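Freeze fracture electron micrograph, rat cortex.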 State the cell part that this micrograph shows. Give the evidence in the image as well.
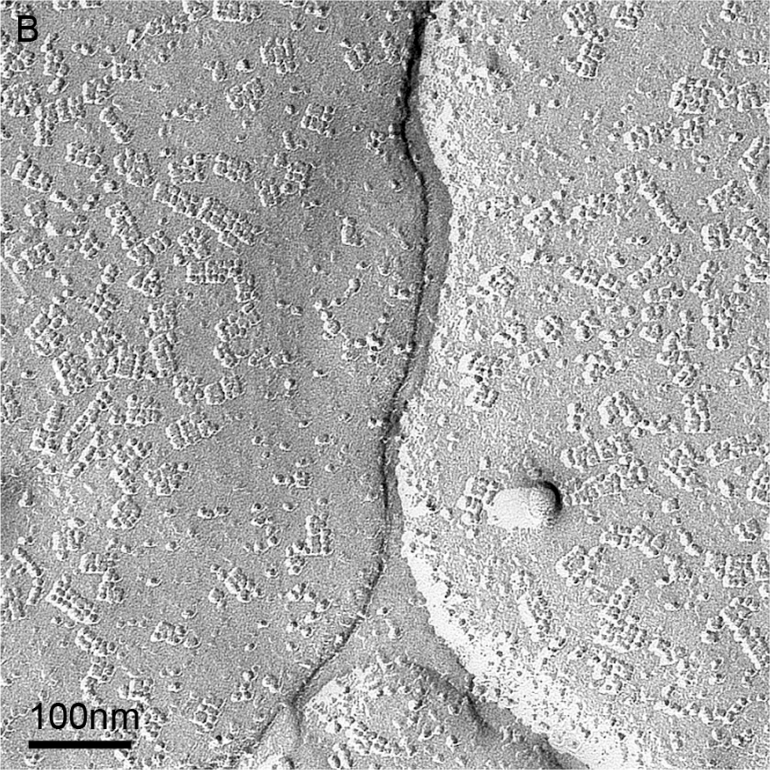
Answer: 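A flat membrane fracture face fills most of the field. Many small particles are packed into square or rectangular lattice-like clusters across the membrane. On this evidence: astrocytic endfoot membrane.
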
